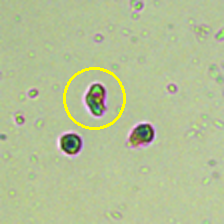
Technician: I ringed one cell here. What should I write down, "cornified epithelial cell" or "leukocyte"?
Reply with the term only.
leukocyte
